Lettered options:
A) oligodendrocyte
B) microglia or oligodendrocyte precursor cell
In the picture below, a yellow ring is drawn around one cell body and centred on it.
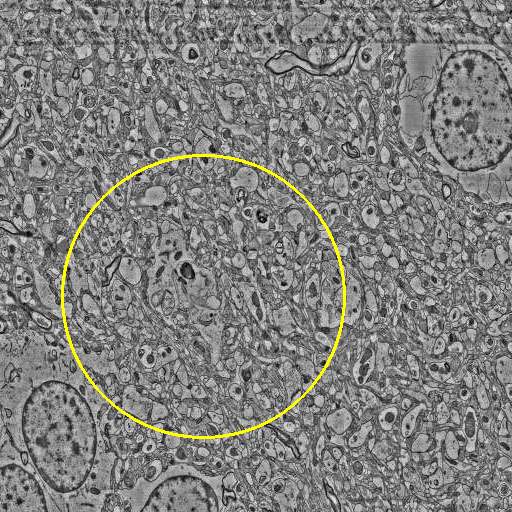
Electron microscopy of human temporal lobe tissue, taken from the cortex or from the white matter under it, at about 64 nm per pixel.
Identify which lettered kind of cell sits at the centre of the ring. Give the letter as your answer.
B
